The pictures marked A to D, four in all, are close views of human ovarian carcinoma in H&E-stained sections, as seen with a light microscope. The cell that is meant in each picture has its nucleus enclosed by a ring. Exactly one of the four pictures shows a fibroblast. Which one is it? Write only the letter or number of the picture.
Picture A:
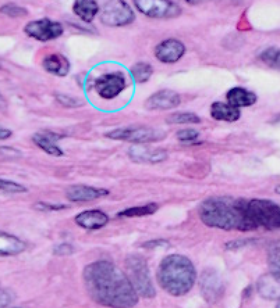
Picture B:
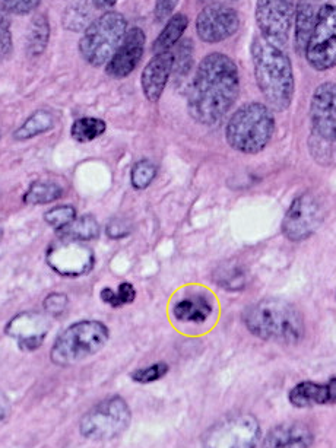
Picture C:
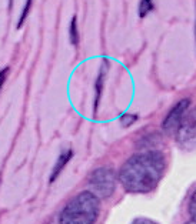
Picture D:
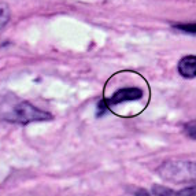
C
